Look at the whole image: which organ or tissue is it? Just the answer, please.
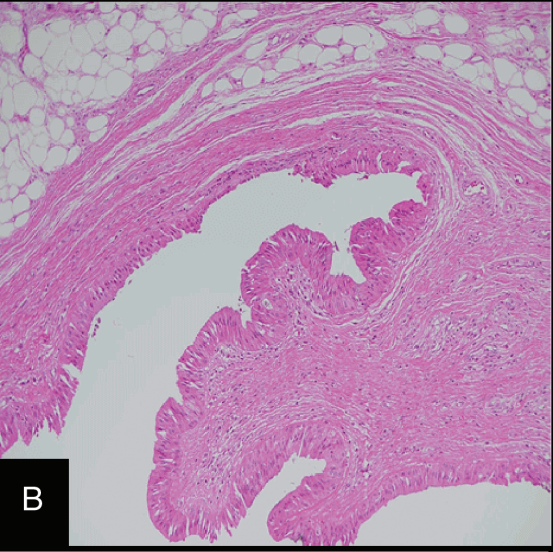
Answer: ciliated columnar epithelium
